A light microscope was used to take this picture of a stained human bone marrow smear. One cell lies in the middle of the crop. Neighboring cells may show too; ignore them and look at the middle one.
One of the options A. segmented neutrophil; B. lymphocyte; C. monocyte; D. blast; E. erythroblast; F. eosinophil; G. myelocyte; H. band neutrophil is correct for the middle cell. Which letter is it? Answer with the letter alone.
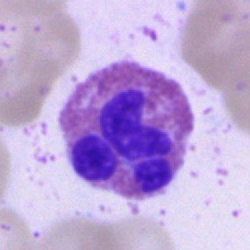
F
